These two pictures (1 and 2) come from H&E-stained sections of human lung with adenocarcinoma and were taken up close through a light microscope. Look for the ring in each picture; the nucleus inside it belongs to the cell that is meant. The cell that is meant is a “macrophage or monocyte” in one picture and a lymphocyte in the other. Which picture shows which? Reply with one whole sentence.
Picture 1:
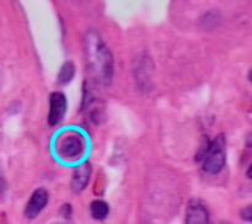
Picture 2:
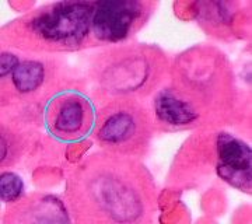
Picture 1 is of a lymphocyte, and picture 2 is of a “macrophage or monocyte”.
